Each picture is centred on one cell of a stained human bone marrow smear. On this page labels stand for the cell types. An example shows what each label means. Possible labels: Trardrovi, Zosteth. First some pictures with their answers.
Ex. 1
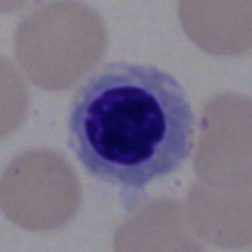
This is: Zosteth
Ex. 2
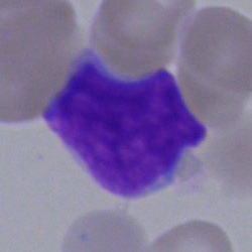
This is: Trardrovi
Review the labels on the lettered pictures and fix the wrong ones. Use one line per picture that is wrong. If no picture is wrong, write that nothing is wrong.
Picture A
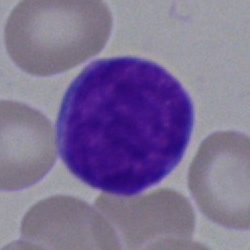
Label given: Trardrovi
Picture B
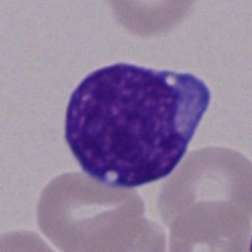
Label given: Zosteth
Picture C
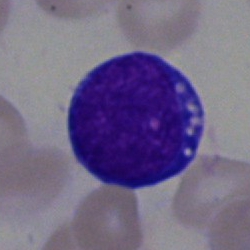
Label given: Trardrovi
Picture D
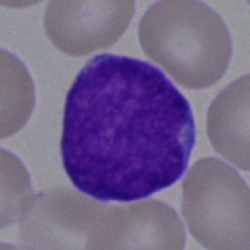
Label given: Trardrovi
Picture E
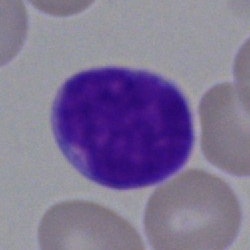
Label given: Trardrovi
B is labelled Zosteth; correct label: Trardrovi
